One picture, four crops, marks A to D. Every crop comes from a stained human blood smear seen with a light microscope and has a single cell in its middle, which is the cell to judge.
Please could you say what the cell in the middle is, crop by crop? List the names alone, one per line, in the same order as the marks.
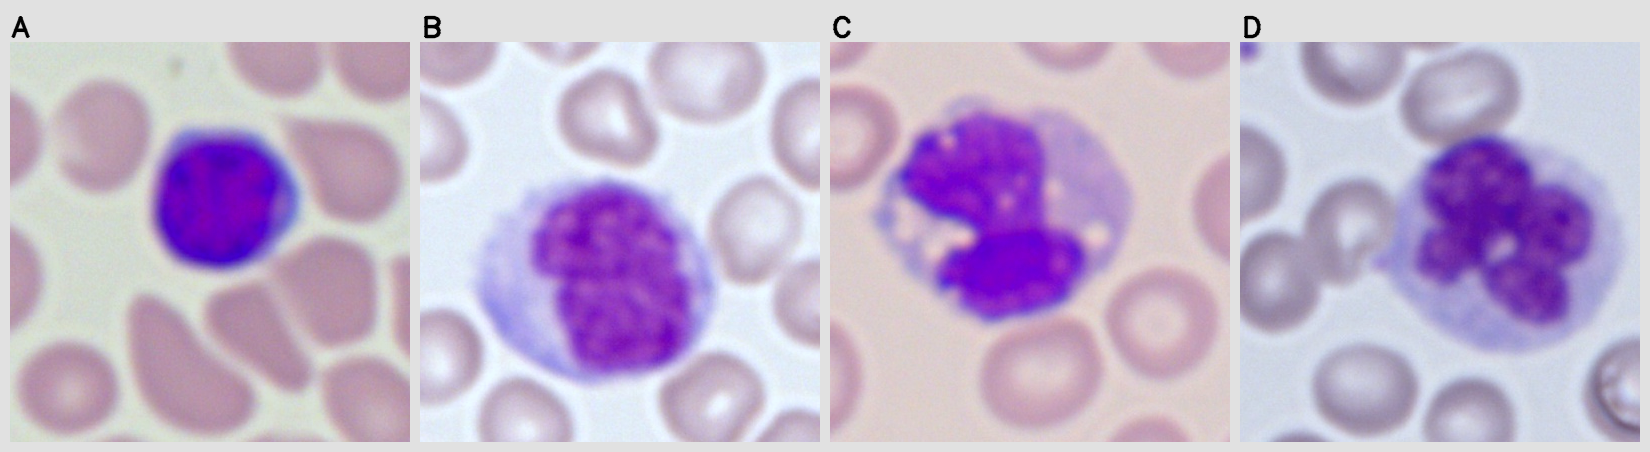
lymphocyte
monocyte
monocyte
monocyte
